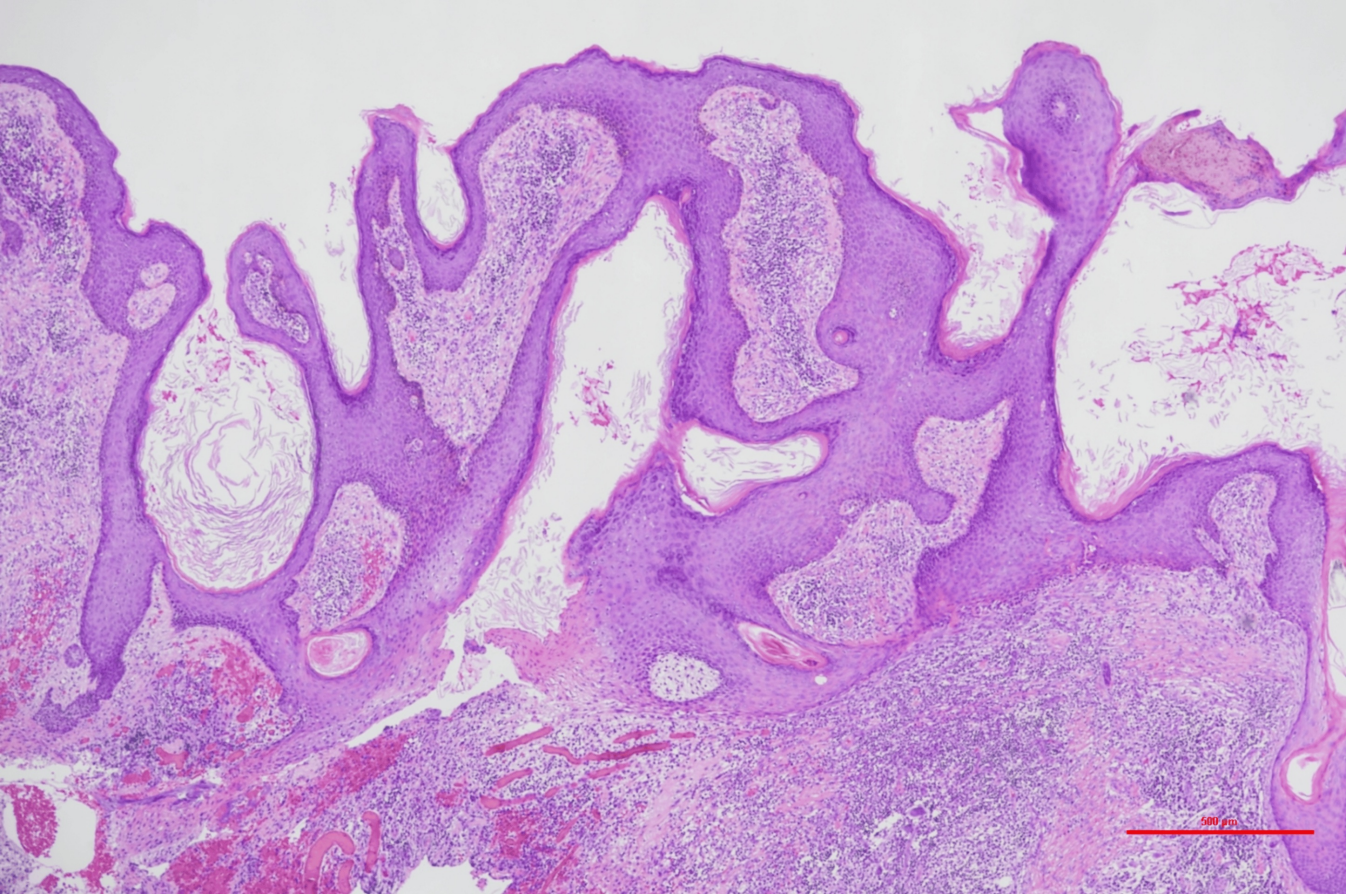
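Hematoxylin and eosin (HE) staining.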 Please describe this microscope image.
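The section shows markedly thickened squamous epithelium, stained purple, thrown into finger-like papillary folds around cores of pink stroma. The downward epithelial projections are long and irregular in length and shape, reaching deep into the tissue beneath. Pale pink, laminated keratin covers parts of the surface and fills the clefts between the folds, and small round keratin-filled spaces lie enclosed within the epithelium. The stromal cores and the tissue beneath the epithelium contain dense collections of small dark nuclei. Near the bottom, vessels packed with red blood cells are visible in the stroma.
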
